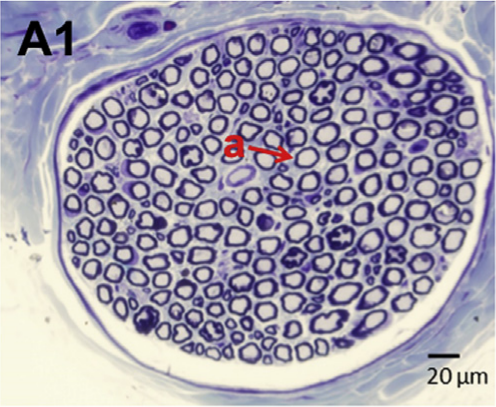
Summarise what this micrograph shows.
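Cross section of a single nerve fascicle packed with myelinated axons. Each fibre appears as a dark blue ring of myelin around a pale, unstained axon, ranging from small to large in diameter; some larger rings are folded or crenated. Fibres lie closely side by side with little tissue between them. A thin dark perineurial boundary encloses the fascicle, separated from it by a pale cleft, with loose connective tissue outside. A few scattered dark dots and small nuclei lie between fibres.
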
